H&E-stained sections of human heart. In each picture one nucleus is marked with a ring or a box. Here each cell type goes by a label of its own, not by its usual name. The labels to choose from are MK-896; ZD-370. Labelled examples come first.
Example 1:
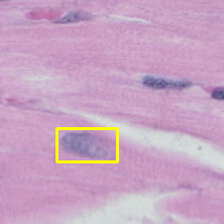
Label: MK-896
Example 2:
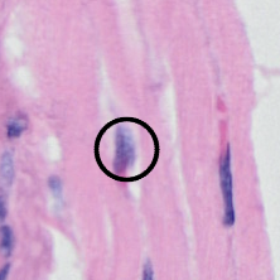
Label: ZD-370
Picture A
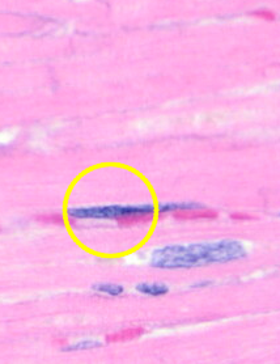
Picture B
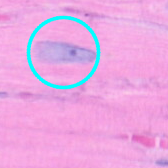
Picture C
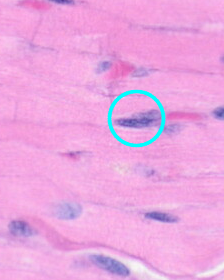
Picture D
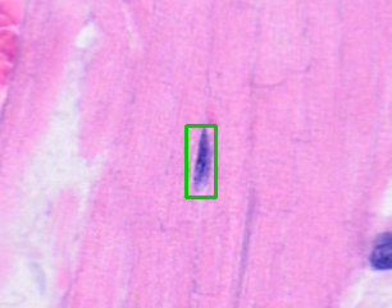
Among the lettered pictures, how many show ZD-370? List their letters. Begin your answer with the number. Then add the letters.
Count: 3 (A, C, D)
